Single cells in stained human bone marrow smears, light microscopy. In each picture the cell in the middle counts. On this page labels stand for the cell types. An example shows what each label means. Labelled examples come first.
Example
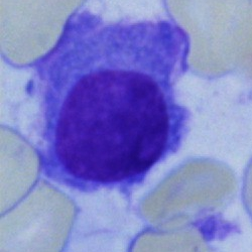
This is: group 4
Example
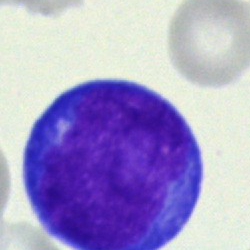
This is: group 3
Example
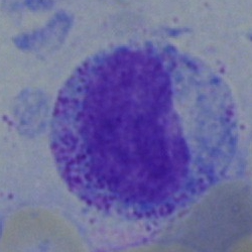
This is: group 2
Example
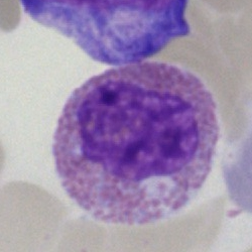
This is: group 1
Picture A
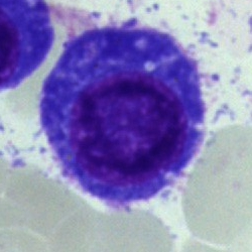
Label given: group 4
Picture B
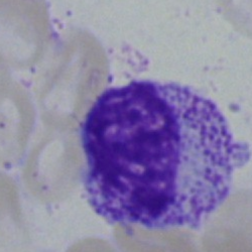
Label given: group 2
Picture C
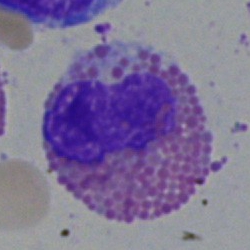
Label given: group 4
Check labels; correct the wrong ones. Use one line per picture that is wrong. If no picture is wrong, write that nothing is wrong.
C: change group 4 to group 1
